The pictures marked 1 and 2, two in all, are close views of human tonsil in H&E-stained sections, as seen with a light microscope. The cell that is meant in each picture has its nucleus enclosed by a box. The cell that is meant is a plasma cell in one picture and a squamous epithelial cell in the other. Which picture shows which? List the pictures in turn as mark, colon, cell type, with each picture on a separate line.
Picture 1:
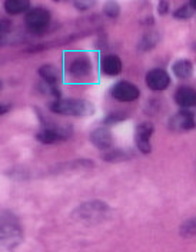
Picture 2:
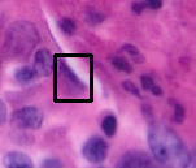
1: plasma cell
2: squamous epithelial cell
